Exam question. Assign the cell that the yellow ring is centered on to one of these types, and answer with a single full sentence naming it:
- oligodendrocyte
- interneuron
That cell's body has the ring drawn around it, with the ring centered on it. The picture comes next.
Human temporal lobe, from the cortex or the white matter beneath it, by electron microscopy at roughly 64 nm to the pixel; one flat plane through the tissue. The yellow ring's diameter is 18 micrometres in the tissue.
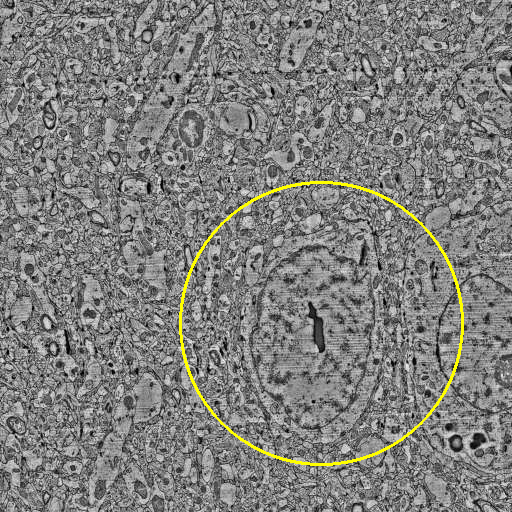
In the micrograph, the cell the yellow ring is centered on is an interneuron.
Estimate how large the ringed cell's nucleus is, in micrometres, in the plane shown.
In this plane the nucleus is about 12 micrometres by 8.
